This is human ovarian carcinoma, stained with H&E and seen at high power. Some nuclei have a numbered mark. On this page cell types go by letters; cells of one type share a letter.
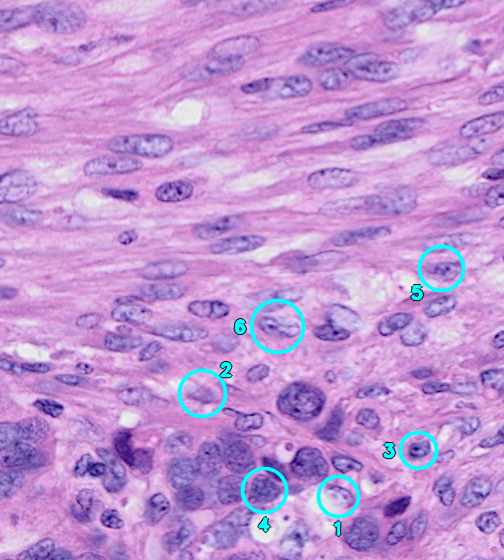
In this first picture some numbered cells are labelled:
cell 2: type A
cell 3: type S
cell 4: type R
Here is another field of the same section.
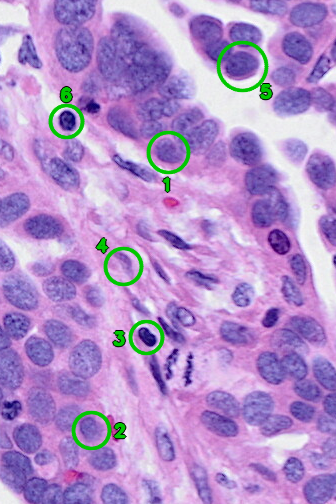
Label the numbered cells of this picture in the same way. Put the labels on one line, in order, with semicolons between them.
type R; type R; type S; type A; type R; type S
